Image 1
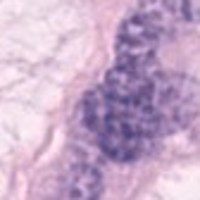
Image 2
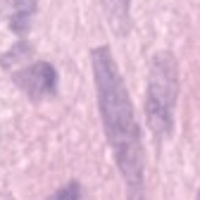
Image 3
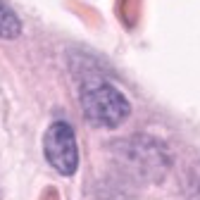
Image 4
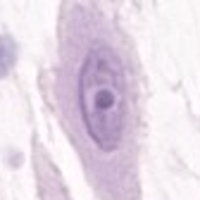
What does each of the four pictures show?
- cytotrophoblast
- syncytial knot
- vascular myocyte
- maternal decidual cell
(1) syncytial knot
(2) vascular myocyte
(3) cytotrophoblast
(4) maternal decidual cell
